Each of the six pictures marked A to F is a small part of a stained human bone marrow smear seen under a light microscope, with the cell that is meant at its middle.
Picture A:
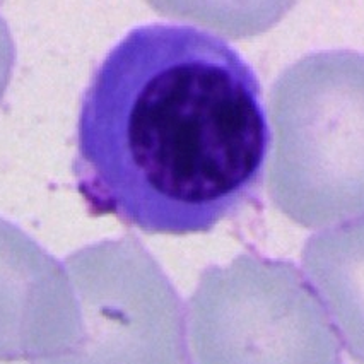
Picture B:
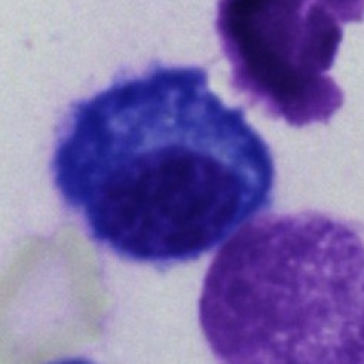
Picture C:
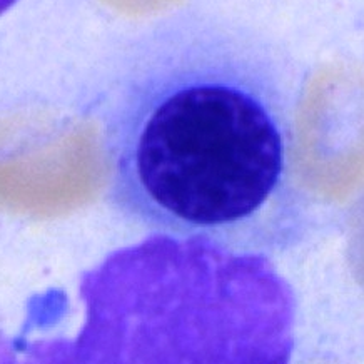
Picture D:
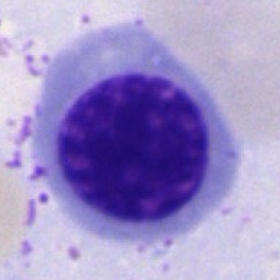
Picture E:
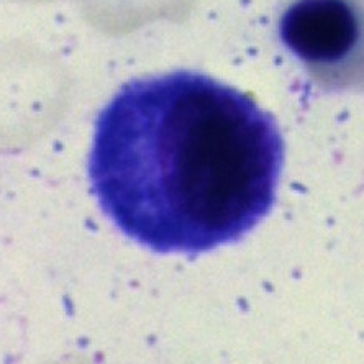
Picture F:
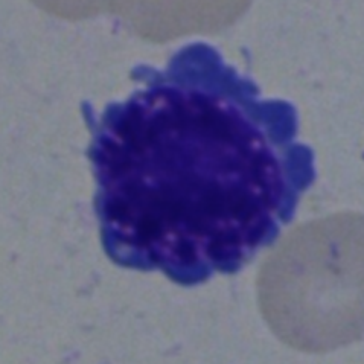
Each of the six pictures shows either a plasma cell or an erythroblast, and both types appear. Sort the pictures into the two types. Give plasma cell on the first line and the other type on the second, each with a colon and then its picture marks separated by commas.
plasma cell: B, E
erythroblast: A, C, D, F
